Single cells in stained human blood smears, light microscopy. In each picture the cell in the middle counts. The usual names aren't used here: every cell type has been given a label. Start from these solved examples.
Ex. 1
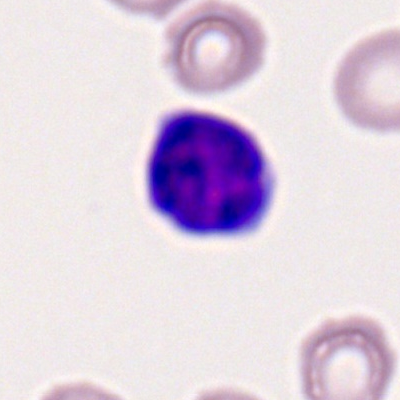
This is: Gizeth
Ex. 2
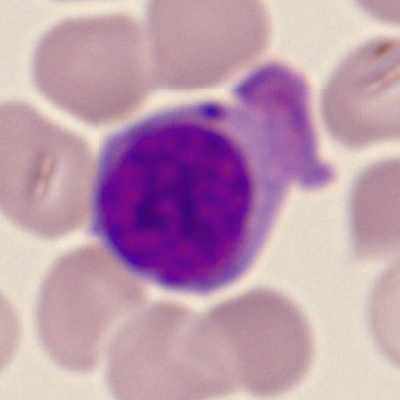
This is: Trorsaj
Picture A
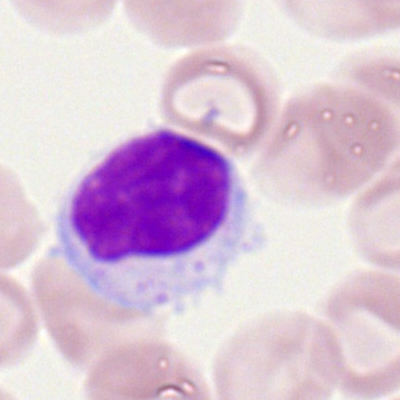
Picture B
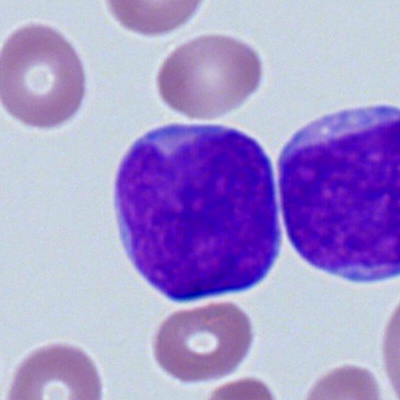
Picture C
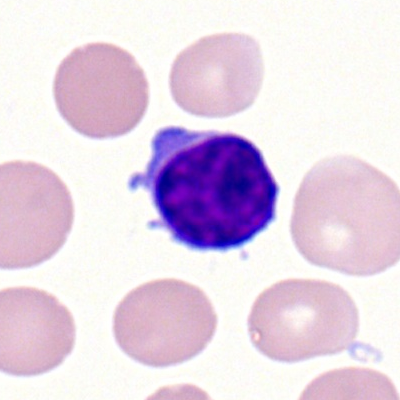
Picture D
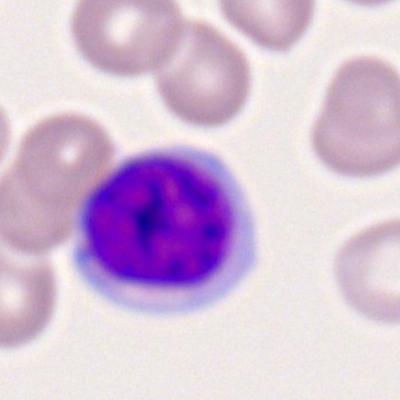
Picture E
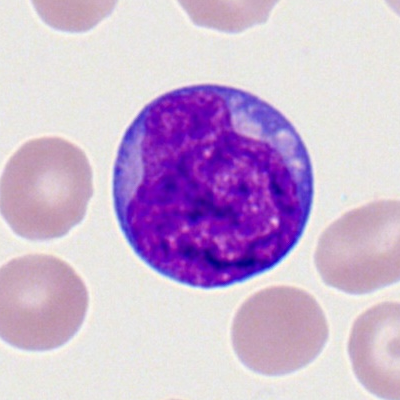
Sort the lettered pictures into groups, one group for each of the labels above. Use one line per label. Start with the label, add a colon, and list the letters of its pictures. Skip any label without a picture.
Gizeth: A, C, D
Trorsaj: B, E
